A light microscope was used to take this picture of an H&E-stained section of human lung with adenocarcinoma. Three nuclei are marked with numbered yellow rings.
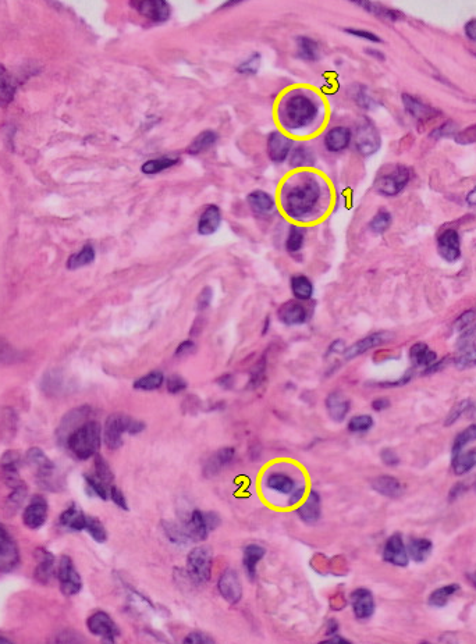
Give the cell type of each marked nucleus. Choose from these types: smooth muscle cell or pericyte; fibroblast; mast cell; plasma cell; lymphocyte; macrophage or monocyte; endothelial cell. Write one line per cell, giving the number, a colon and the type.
1: plasma cell
2: lymphocyte
3: plasma cell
